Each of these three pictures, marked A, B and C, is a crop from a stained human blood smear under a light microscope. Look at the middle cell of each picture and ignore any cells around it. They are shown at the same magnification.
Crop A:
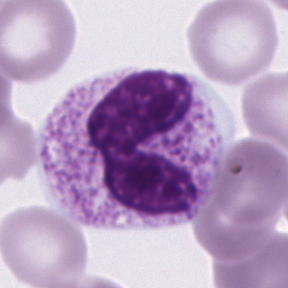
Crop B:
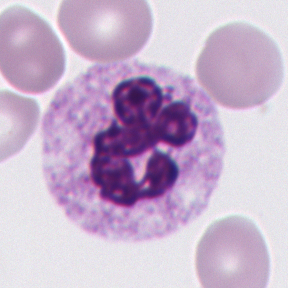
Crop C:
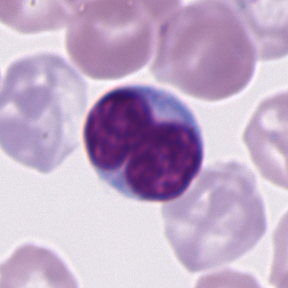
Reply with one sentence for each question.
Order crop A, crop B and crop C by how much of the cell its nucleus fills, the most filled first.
From the most filled to the least, the order is C, A, B.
